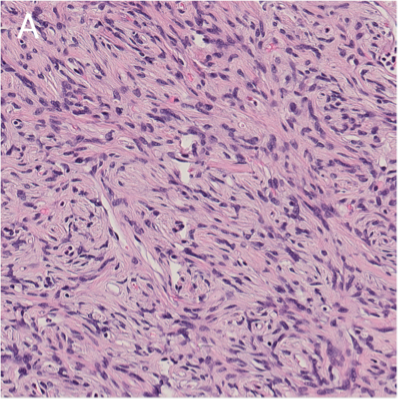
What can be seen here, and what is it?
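This is a tumour of spindle cells set in a collagenous stroma. The cells have elongated, slender to wavy dark nuclei and ill-defined pale cytoplasm. They lie in short fascicles and haphazard, patternless arrangements rather than in a regular pattern. Pink bundles of collagen run between the cells throughout the field. Small, narrow slit-like vessels are scattered among the tumour cells.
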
